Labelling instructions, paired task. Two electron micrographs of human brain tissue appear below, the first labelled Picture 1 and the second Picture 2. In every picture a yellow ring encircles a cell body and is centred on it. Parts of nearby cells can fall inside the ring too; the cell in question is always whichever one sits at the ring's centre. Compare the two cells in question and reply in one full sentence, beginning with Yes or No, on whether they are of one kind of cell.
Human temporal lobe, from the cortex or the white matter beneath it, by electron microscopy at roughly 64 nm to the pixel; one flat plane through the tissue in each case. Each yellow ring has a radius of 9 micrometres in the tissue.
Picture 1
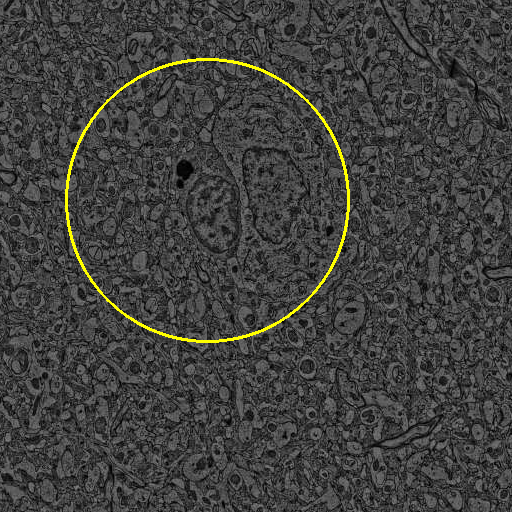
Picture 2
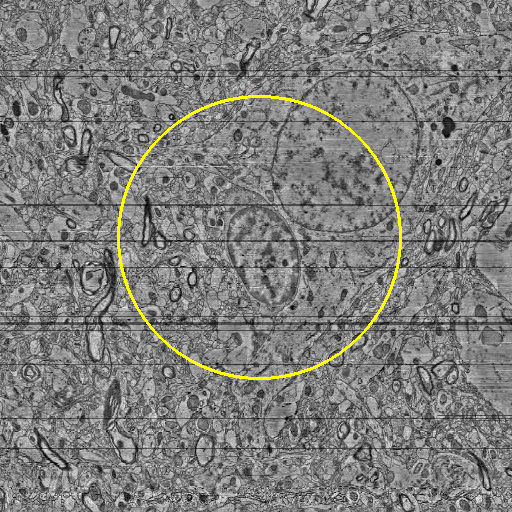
Yes, the two cells at the ring centres in Picture 1 and Picture 2 are of one kind.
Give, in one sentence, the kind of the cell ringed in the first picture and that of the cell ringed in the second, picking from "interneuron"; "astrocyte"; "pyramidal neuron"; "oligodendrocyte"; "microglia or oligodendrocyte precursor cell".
Each of the ringed cells, first and second, is an oligodendrocyte.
